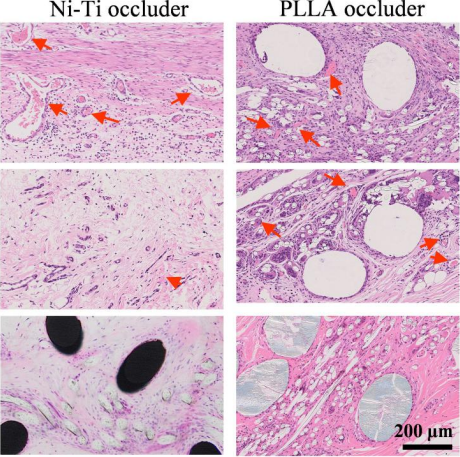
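Pink collagen-rich fibrous tissue with scattered dark purple nuclei fills the spaces between round and oval holes, some large and empty white, others solid black. In several images the nuclei lie crowded together in dense purple clusters beside the holes, while in others the tissue is looser and paler with fewer nuclei. Small white holes are dotted through the tissue among the larger ones.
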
